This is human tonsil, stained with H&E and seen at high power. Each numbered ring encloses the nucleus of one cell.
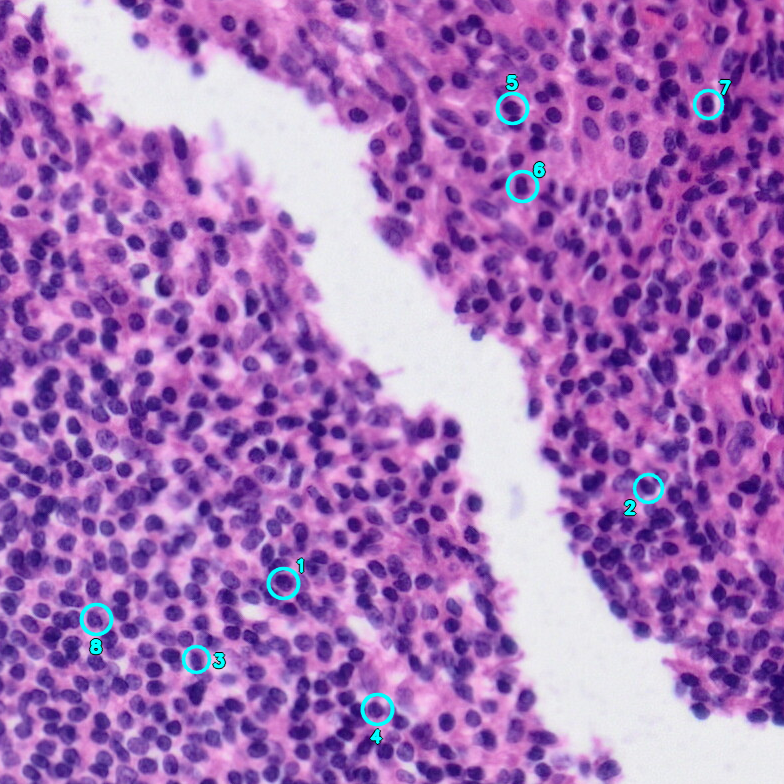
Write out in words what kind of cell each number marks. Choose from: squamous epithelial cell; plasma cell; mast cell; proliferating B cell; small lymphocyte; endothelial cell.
Cell 1 is a small lymphocyte, cell 2 is a small lymphocyte, cell 3 is a small lymphocyte, cell 4 is a small lymphocyte, cell 5 is a plasma cell, cell 6 is a plasma cell, cell 7 is a plasma cell and cell 8 is a small lymphocyte.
